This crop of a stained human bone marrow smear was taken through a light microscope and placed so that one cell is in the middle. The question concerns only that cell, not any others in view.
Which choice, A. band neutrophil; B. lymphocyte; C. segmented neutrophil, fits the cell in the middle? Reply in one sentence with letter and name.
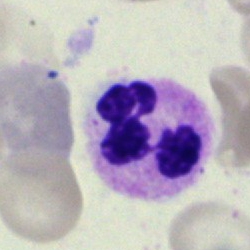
Option C is correct, and the cell in the centre is a segmented neutrophil.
